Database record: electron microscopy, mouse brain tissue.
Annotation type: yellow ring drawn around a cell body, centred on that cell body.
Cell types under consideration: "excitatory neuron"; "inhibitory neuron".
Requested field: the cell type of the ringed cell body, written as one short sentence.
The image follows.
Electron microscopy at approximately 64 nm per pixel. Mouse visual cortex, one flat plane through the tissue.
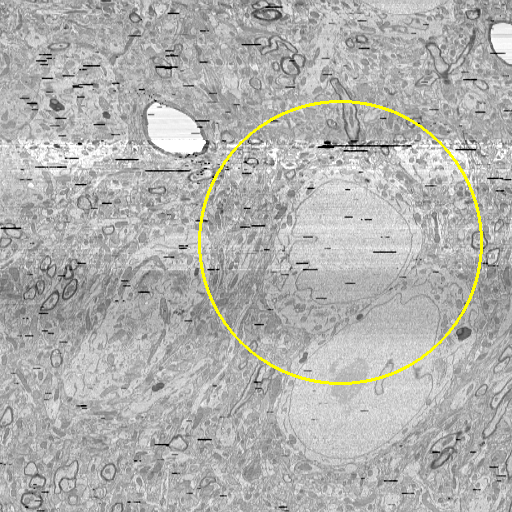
The ringed cell body represents an excitatory neuron.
